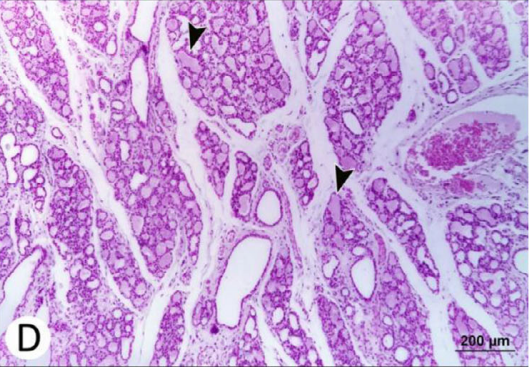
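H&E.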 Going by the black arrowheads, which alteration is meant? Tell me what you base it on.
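Abundant milk synthesis. The arrowheads point at pale pink homogeneous material filling acinar lumens. The tissue is packed with many acini separated by thin connective tissue septa. Little adipose tissue is left between the lobules.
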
